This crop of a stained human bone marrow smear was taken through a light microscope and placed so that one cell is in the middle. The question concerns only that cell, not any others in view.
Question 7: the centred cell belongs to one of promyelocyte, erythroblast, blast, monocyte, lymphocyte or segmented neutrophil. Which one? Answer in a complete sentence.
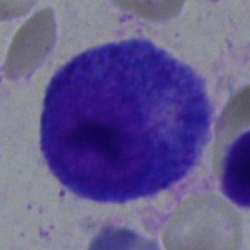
The middle of this crop holds a promyelocyte.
